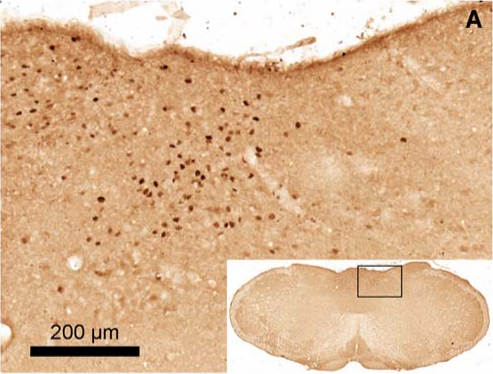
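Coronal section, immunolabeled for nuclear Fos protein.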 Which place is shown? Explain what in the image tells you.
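Dorsomedial part of the brainstem. The enlarged field has the dorsal surface along its top edge.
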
